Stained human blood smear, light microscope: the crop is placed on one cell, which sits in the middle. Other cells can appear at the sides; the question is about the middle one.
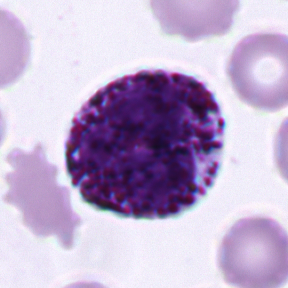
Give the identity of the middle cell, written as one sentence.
The crop shows a basophil in its centre.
